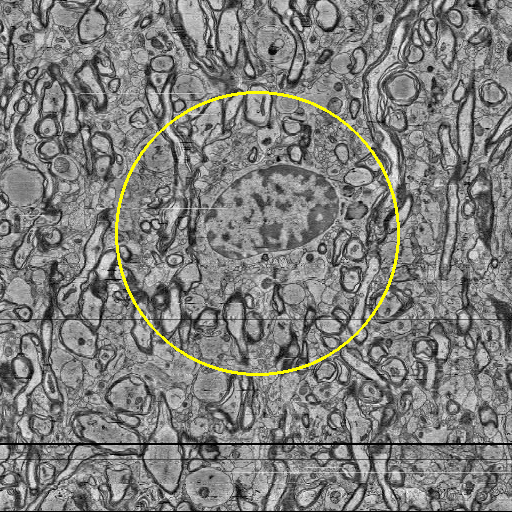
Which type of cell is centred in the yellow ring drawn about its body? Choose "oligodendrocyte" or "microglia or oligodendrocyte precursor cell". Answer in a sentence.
The yellow ring surrounds the cell body of a microglial cell or oligodendrocyte precursor cell.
